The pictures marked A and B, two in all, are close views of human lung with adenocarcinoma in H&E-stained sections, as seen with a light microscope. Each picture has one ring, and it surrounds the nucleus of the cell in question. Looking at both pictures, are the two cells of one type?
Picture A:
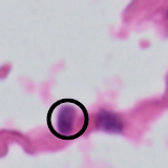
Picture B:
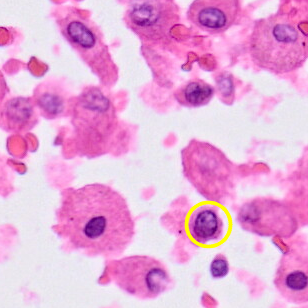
no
